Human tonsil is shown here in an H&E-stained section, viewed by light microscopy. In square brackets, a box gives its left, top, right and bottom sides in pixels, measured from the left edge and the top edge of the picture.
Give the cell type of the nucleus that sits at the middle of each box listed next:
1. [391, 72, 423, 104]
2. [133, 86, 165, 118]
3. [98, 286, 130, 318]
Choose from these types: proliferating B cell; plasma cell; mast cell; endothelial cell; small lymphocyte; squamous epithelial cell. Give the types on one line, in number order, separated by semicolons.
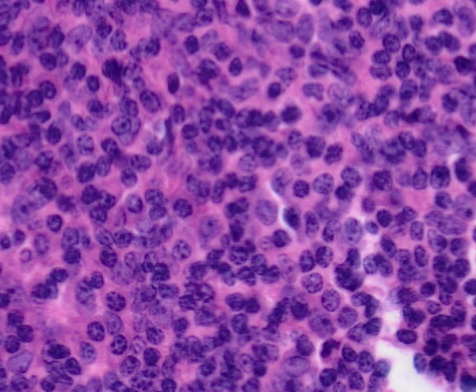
small lymphocyte; plasma cell; plasma cell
